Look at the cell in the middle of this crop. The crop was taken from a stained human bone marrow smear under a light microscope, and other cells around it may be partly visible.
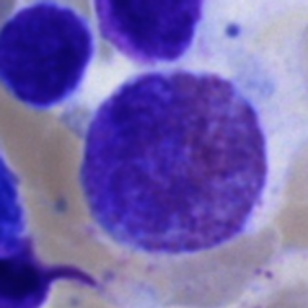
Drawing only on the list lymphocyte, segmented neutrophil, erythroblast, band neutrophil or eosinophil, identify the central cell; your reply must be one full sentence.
The centered cell in this crop is an eosinophil.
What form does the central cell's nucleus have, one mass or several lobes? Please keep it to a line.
Just one compact nuclear mass here, round, oval or kidney-shaped.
